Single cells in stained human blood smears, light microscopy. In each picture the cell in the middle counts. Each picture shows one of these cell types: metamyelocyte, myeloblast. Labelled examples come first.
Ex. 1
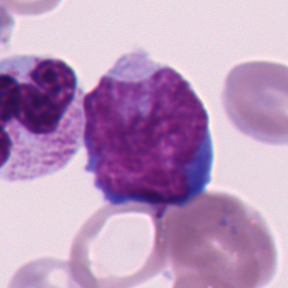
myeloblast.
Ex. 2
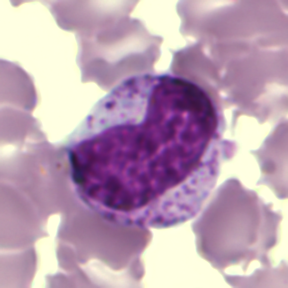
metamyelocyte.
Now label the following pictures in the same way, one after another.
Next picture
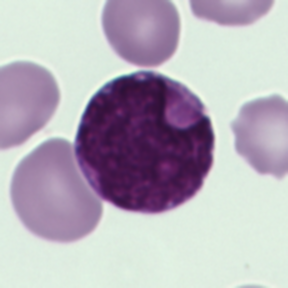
myeloblast.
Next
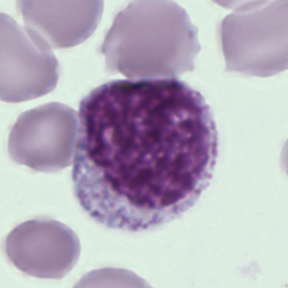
metamyelocyte.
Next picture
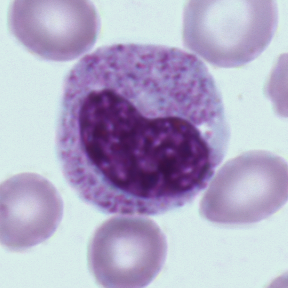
metamyelocyte.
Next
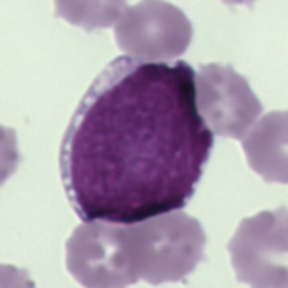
myeloblast.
